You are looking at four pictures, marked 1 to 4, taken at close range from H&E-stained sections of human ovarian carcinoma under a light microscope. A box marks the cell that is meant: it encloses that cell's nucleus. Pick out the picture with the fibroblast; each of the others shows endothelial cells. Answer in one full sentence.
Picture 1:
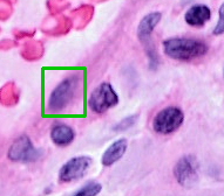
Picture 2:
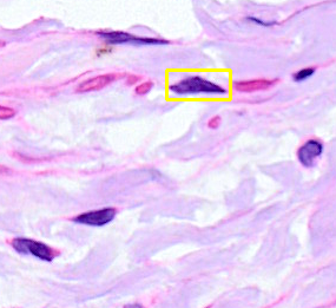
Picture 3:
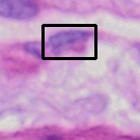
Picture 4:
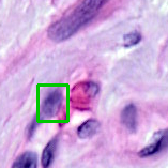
It is picture 2 that shows the fibroblast.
